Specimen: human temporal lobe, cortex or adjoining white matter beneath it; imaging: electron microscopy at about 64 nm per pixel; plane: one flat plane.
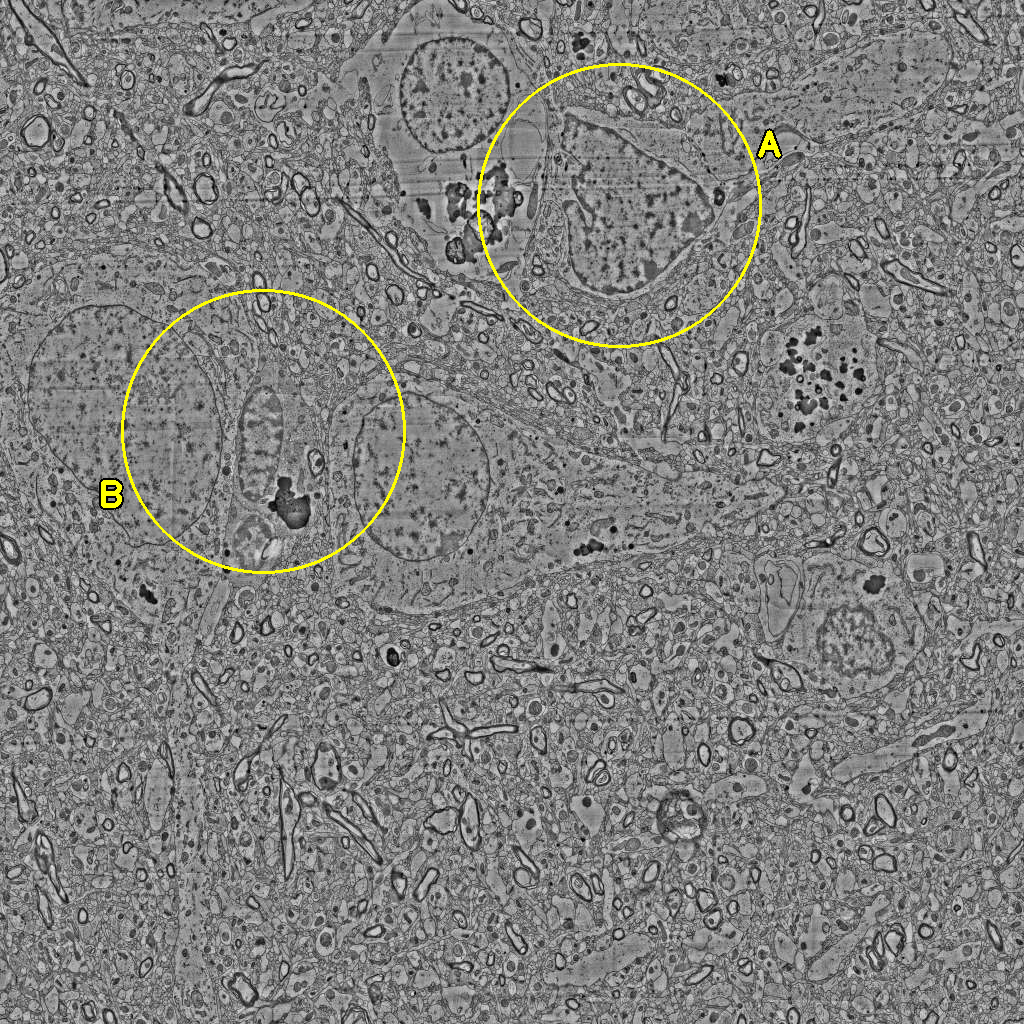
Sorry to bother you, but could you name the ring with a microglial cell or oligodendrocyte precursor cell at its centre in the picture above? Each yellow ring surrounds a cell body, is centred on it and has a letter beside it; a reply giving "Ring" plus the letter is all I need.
Ring A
